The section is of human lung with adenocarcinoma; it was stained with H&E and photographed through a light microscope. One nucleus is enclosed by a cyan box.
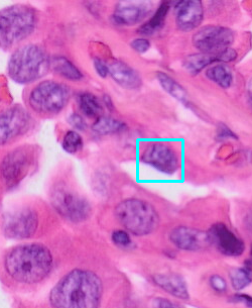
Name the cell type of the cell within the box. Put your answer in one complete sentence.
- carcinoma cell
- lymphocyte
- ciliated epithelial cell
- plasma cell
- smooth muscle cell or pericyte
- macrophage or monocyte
The classification of the cell within the box is as a carcinoma cell.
